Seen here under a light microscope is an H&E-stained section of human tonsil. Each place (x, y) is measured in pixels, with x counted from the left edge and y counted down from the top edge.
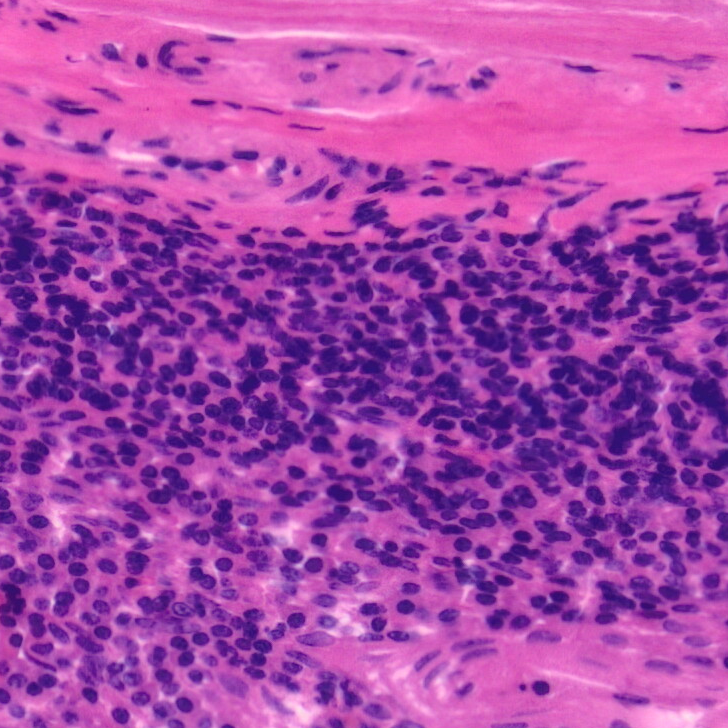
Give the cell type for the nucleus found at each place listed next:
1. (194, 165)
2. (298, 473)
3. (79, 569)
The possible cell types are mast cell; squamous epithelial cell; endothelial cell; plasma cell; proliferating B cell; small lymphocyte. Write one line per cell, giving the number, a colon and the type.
1: endothelial cell
2: plasma cell
3: plasma cell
